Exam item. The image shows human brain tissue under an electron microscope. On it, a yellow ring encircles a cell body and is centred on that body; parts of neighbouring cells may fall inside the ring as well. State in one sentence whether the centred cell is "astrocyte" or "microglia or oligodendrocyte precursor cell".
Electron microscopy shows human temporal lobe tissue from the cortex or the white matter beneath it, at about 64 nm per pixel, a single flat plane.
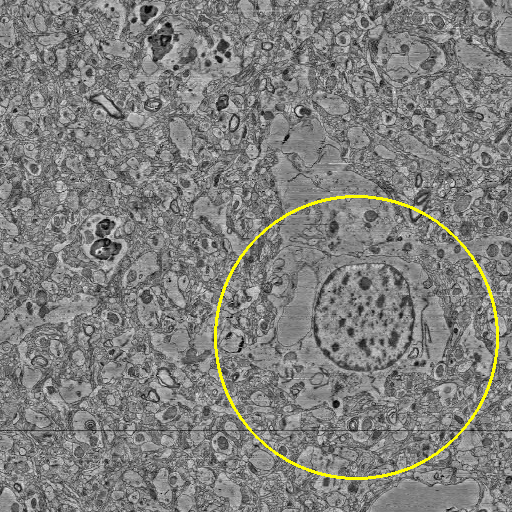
The cell body centred in the ring is an astrocyte.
